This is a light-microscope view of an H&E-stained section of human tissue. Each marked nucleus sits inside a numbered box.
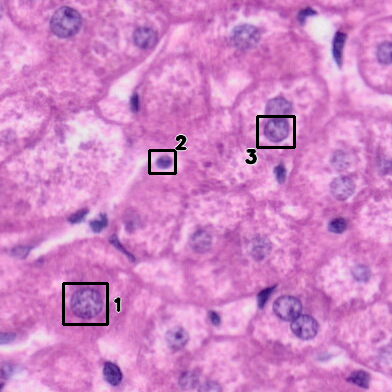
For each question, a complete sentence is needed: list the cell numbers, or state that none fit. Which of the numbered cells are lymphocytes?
Just one numbered cell is a lymphocyte, and that cell is number 2.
